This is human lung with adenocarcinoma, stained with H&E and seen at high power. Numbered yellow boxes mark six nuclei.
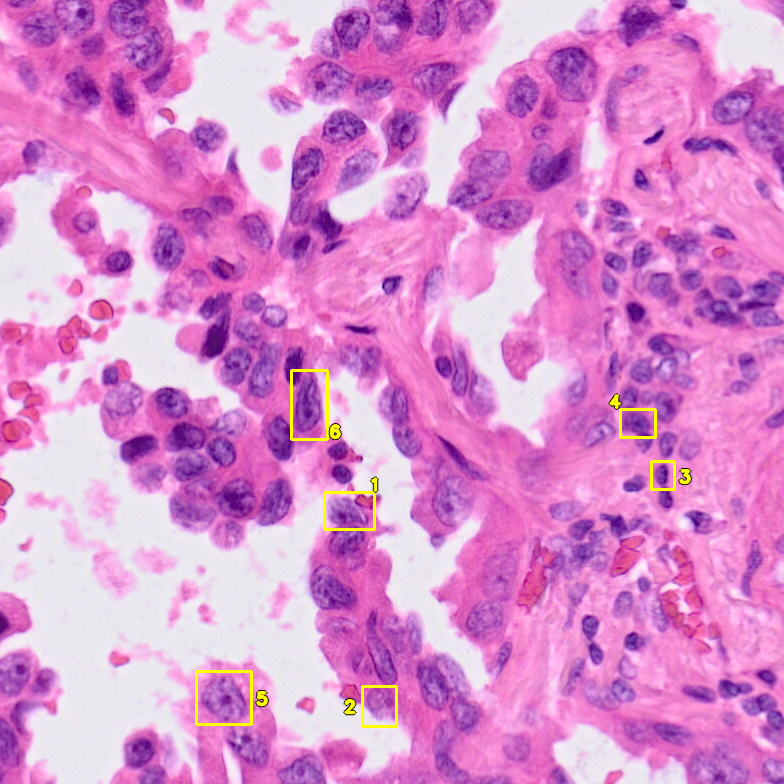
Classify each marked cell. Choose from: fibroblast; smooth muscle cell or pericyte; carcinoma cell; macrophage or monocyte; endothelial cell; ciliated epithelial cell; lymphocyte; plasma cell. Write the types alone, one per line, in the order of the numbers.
carcinoma cell
carcinoma cell
lymphocyte
plasma cell
carcinoma cell
carcinoma cell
